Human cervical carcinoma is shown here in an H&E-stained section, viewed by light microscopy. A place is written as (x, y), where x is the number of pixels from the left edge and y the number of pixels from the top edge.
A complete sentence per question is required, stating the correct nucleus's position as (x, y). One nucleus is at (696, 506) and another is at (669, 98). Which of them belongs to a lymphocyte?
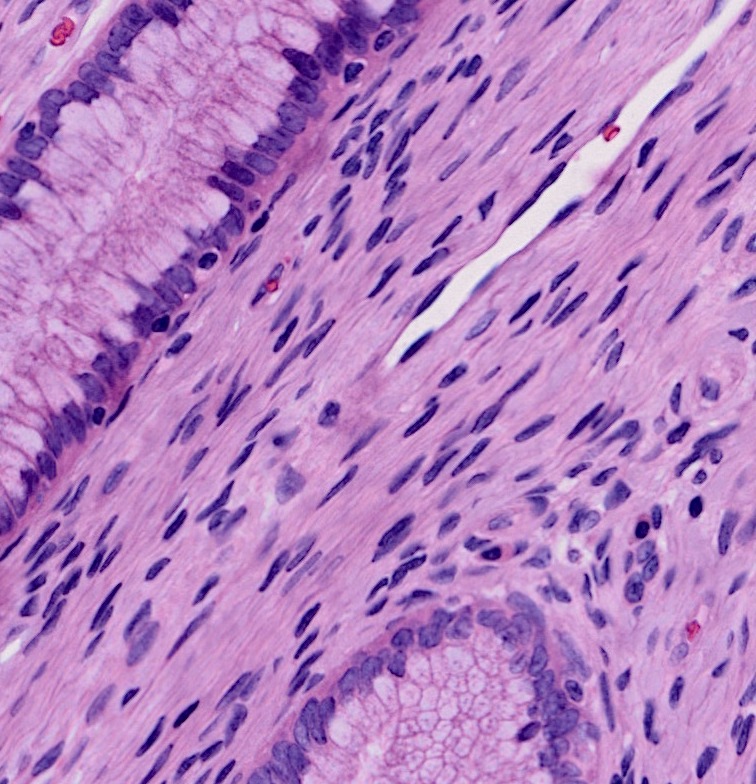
The nucleus found at (696, 506) belongs to a lymphocyte.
